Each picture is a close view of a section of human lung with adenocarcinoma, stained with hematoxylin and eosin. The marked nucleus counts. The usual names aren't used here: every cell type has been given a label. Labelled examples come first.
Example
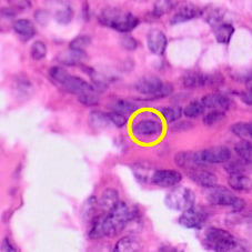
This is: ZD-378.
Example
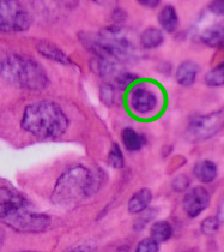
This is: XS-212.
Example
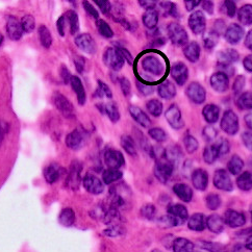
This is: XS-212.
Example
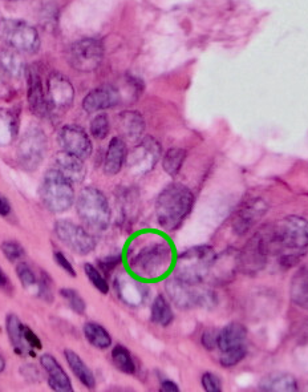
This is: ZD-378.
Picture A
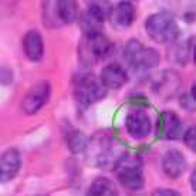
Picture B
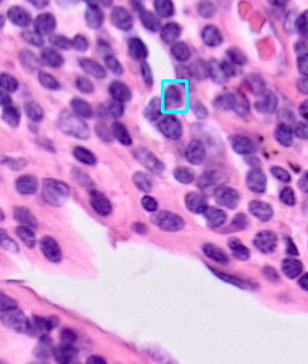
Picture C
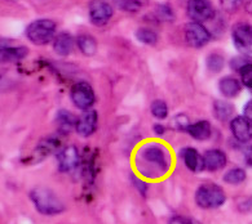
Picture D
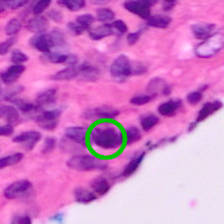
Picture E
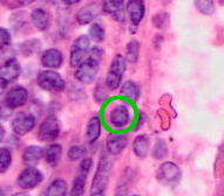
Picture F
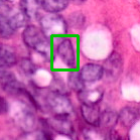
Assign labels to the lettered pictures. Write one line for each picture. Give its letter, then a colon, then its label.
A: XS-212.
B: XS-212.
C: XS-212.
D: XS-212.
E: XS-212.
F: ZD-378.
